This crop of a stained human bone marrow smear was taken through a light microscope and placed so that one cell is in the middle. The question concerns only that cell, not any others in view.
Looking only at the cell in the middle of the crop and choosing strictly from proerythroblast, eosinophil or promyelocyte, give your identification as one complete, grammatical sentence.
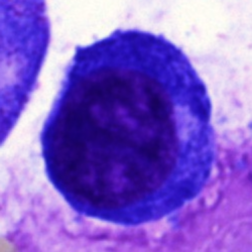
The cell in the middle of the field of view is a proerythroblast.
